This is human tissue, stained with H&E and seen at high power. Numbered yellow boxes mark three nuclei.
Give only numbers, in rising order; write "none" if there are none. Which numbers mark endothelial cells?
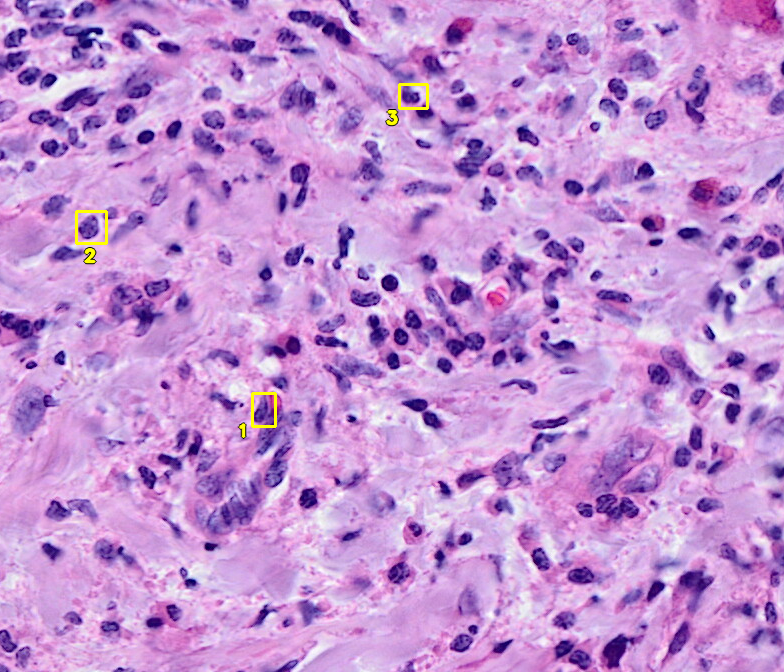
1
